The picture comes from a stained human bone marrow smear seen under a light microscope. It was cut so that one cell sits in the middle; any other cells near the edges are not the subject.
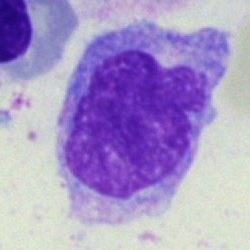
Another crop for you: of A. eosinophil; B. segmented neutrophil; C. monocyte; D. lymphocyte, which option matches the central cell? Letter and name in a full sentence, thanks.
Option C is correct in naming the middle cell a monocyte.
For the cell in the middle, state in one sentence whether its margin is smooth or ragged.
The contour of the cell is interrupted by ragged areas or by projections.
